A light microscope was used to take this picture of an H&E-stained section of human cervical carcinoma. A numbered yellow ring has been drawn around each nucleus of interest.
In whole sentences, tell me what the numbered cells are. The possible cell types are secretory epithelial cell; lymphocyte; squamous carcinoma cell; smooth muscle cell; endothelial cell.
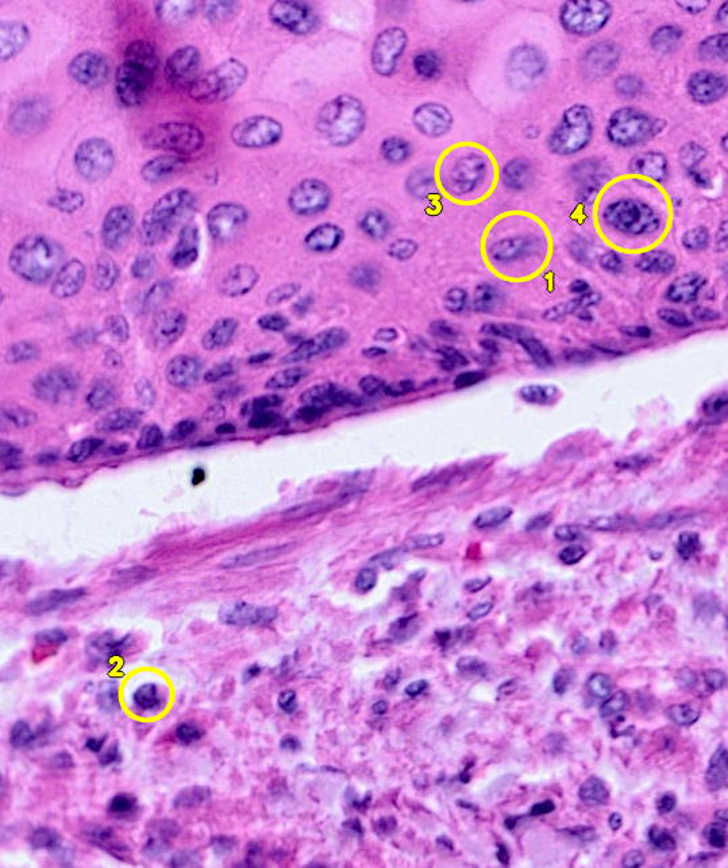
Cells 1, 3 and 4 are squamous carcinoma cells. Cell 2 is a lymphocyte.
